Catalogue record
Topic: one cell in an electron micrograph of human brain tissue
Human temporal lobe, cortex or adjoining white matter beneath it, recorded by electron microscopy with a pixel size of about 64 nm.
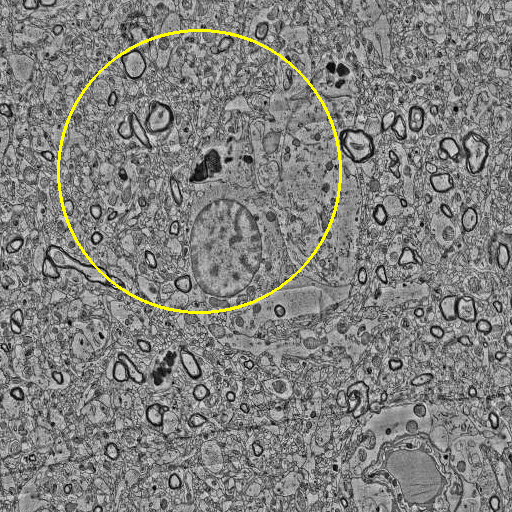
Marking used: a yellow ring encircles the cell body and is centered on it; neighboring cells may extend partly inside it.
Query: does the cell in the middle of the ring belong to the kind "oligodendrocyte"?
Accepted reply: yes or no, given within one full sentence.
Yes, the cell centered in the ring in the picture is of that kind.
